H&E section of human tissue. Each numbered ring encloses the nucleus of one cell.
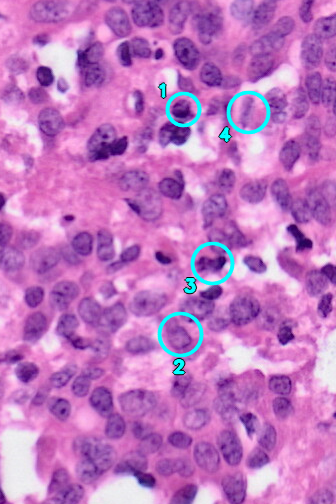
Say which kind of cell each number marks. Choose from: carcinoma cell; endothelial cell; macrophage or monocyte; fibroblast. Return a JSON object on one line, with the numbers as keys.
{"1": "carcinoma cell", "2": "carcinoma cell", "3": "carcinoma cell", "4": "macrophage or monocyte"}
